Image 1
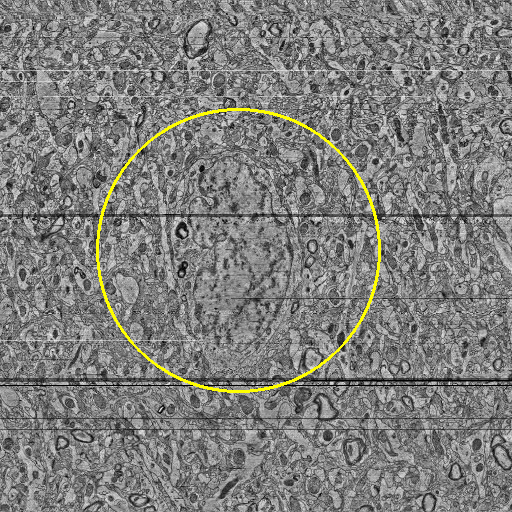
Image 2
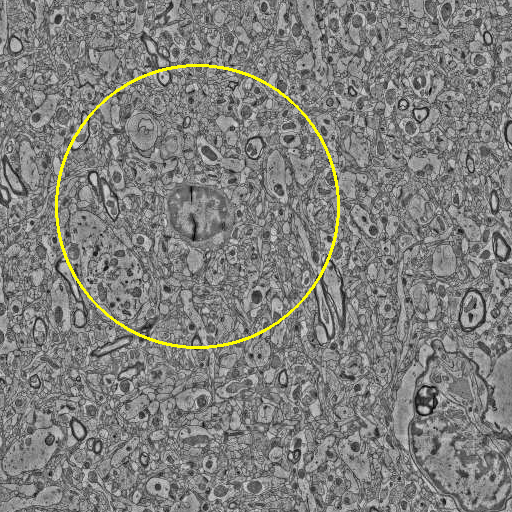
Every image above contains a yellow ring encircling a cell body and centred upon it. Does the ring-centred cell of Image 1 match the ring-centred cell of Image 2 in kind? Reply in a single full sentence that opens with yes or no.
No, the cell at the ring's centre in Image 1 is a separate kind from that in Image 2.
